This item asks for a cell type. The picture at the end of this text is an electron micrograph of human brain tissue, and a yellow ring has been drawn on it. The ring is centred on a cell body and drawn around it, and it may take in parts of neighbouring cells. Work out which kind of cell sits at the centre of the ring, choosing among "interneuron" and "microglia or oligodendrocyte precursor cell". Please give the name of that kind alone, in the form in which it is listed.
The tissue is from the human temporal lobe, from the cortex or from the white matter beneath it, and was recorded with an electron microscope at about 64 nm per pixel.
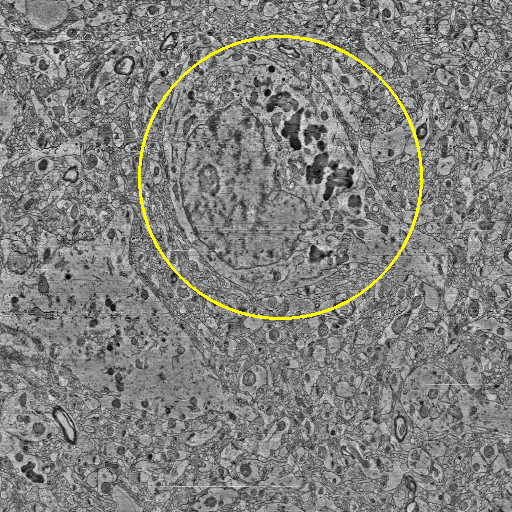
interneuron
